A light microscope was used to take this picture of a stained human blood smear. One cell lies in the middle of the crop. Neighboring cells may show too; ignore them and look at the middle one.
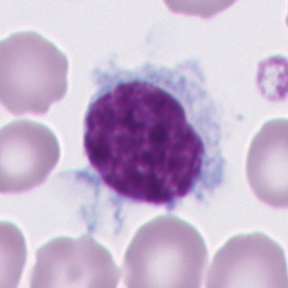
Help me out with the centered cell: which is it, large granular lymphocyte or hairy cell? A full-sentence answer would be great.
Centrally within this crop lies a hairy cell.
